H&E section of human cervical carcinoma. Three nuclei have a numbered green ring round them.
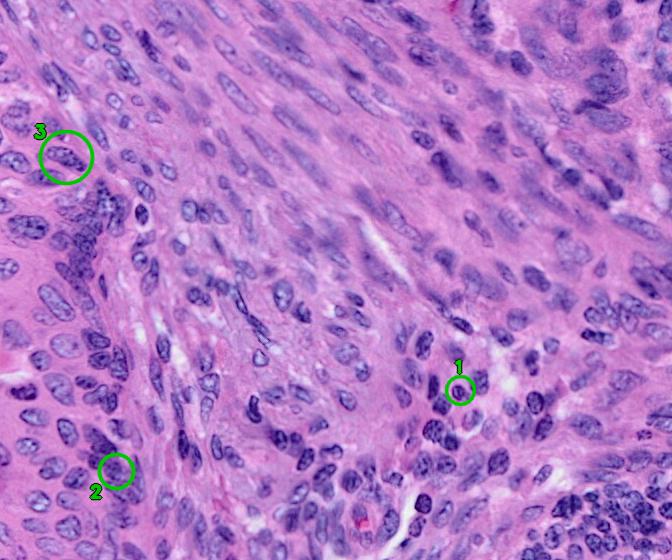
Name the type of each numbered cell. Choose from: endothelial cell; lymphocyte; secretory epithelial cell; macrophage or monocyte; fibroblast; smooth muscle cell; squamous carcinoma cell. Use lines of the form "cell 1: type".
cell 1: lymphocyte
cell 2: squamous carcinoma cell
cell 3: squamous carcinoma cell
